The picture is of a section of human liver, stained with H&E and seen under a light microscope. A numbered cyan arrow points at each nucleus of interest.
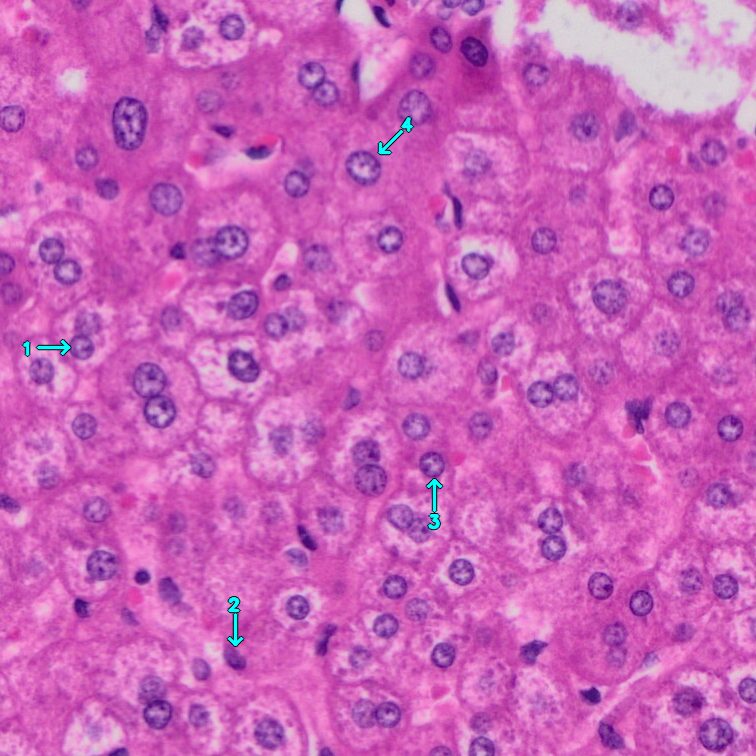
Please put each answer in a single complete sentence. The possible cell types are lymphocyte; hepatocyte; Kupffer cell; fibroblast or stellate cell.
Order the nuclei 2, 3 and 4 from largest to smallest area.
Going from the biggest nucleus down to the smallest gives 4, 3, 2.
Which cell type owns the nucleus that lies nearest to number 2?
The nearest nucleus to number 2 belongs to a Kupffer cell.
